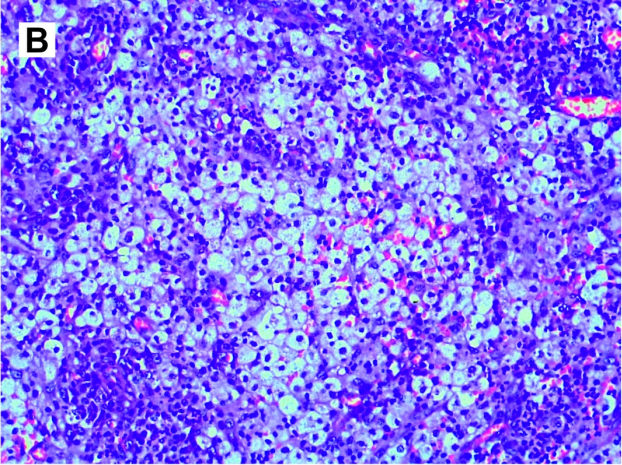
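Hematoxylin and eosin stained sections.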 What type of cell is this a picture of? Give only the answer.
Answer: Foamy macrophages.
